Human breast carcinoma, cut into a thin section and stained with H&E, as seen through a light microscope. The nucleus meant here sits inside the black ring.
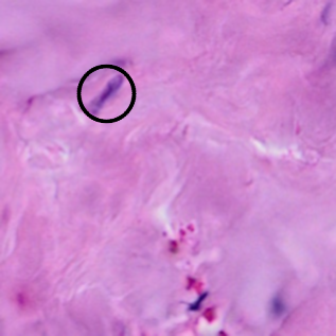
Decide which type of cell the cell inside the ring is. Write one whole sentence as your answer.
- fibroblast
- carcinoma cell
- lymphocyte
By its classification, the cell inside the ring is a fibroblast.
